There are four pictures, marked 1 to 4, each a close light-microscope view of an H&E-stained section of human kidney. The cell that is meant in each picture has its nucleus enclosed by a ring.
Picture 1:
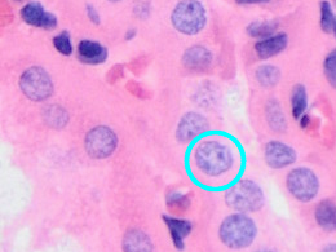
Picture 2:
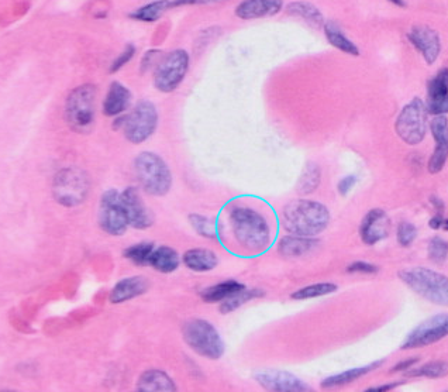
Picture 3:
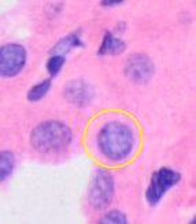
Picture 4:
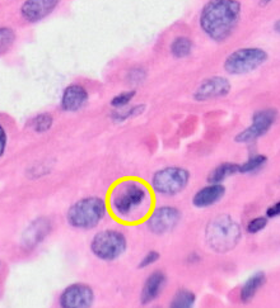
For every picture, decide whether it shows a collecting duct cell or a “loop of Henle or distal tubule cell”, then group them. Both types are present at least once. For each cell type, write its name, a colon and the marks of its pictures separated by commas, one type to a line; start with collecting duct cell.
collecting duct cell: 1, 2
loop of Henle or distal tubule cell: 3, 4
